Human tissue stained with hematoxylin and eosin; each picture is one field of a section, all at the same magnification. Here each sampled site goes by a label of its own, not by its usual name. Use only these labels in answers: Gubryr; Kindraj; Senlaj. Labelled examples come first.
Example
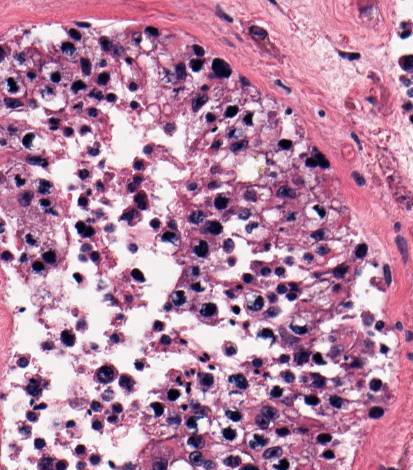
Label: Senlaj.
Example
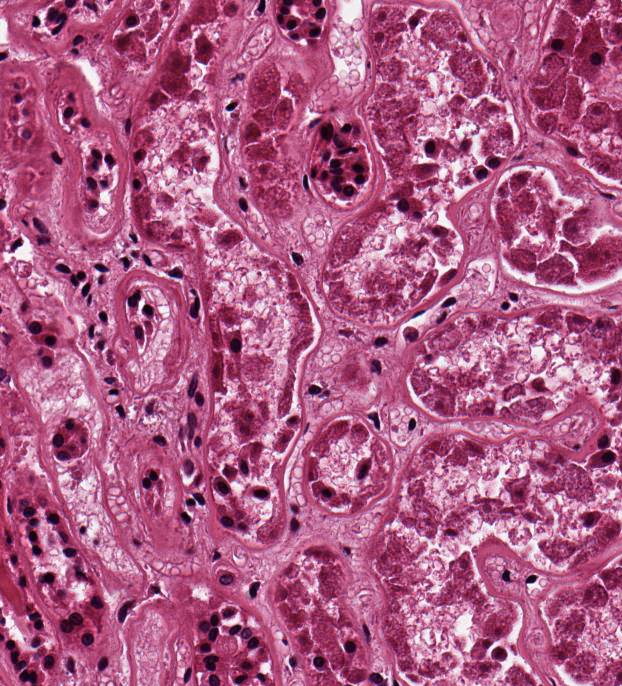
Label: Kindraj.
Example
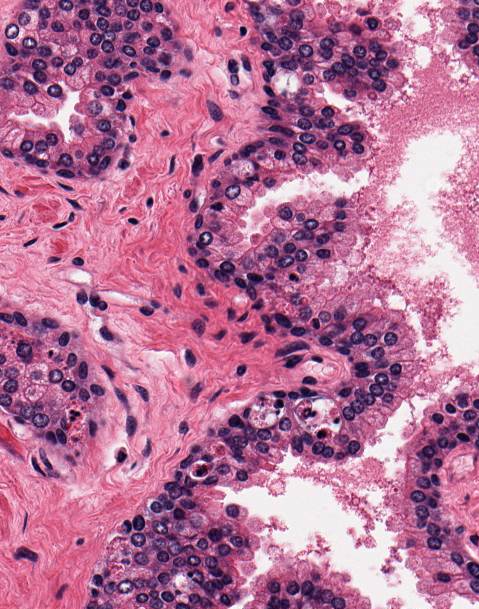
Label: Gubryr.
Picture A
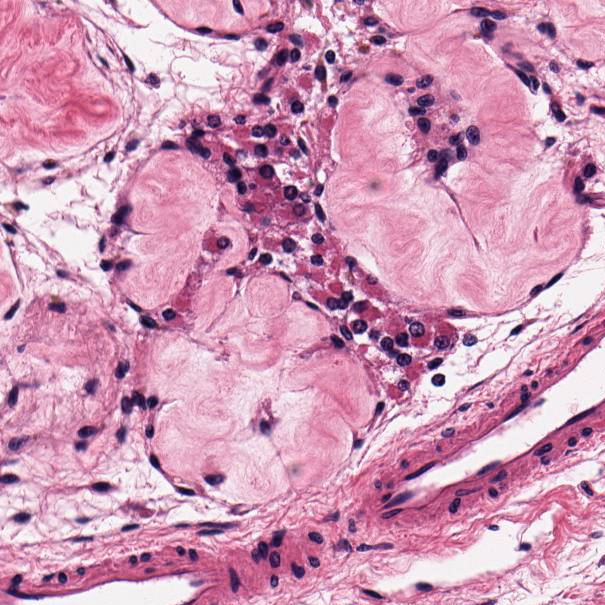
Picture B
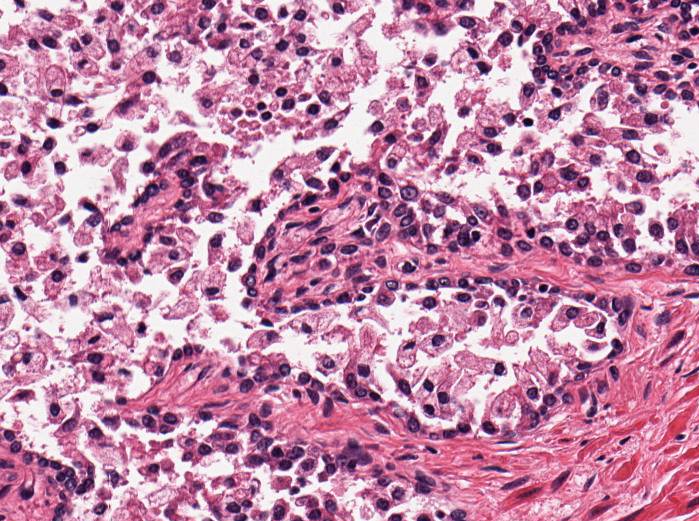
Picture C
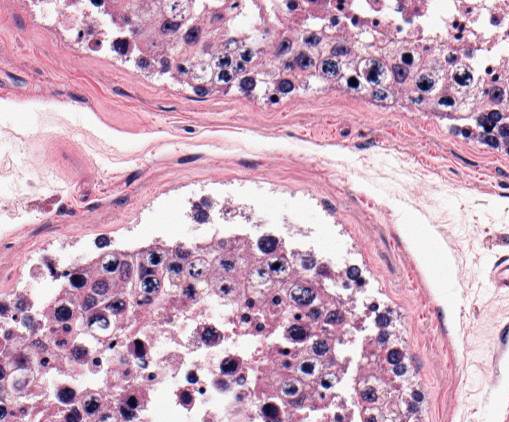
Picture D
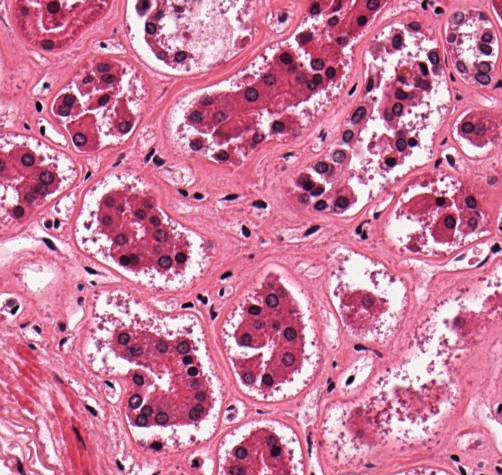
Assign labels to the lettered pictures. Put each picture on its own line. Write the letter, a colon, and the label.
A: Senlaj.
B: Gubryr.
C: Senlaj.
D: Kindraj.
